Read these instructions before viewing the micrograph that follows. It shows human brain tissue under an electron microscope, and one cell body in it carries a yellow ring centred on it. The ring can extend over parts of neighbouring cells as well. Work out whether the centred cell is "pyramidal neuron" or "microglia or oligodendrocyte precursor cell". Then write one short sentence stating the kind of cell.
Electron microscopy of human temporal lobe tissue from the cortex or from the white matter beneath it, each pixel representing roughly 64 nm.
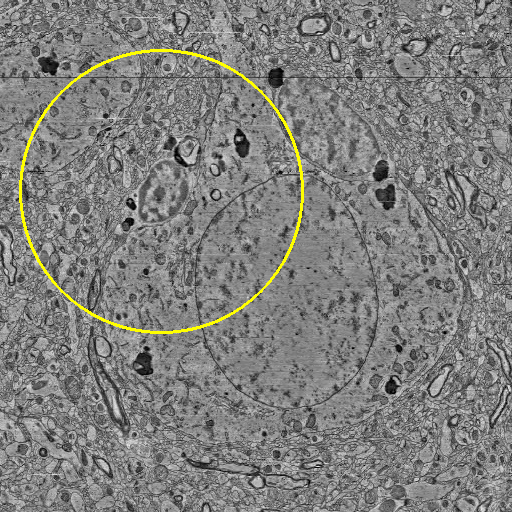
The ringed cell is a microglial cell or oligodendrocyte precursor cell.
